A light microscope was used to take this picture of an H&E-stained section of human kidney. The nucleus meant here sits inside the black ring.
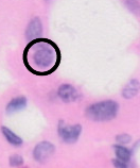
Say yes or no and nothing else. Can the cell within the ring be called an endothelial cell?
no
